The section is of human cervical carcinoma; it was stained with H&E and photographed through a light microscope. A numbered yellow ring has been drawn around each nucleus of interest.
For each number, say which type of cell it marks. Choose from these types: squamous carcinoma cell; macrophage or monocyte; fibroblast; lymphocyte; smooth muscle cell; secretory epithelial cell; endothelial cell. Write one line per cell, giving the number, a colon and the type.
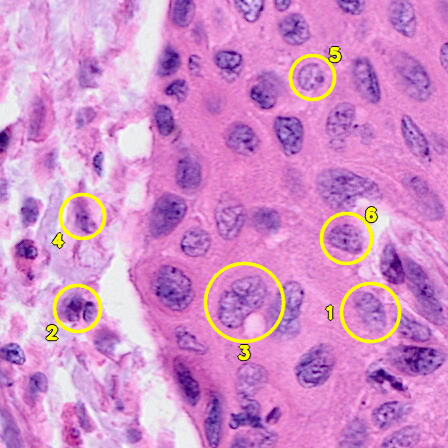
1: squamous carcinoma cell
2: macrophage or monocyte
3: squamous carcinoma cell
4: fibroblast
5: squamous carcinoma cell
6: squamous carcinoma cell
